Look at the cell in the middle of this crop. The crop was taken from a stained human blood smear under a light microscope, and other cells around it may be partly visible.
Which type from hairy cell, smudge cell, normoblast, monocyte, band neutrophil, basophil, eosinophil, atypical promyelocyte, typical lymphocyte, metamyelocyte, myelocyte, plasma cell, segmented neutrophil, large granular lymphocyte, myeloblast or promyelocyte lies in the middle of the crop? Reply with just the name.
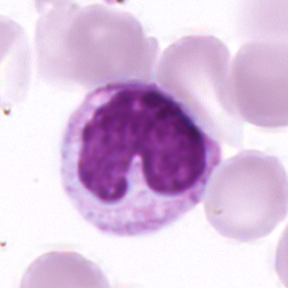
band neutrophil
